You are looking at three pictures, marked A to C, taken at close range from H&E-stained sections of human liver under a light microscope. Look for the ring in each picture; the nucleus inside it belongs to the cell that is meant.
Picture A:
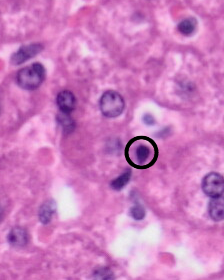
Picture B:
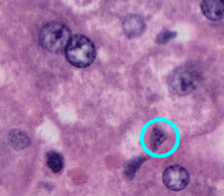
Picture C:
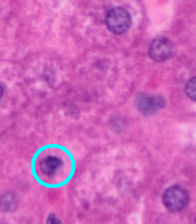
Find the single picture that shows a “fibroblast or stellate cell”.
A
